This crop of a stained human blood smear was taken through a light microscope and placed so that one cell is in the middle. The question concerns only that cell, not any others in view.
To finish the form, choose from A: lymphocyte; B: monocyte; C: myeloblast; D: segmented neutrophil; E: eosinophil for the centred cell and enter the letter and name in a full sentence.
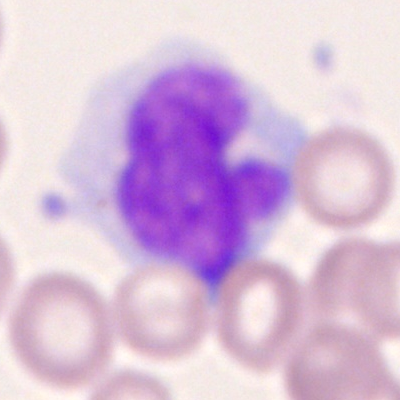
Option B is the keyed answer: the cell in the middle is a monocyte.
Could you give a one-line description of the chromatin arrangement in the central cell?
Answer: the chromatin is fine and has no coarse clumps.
